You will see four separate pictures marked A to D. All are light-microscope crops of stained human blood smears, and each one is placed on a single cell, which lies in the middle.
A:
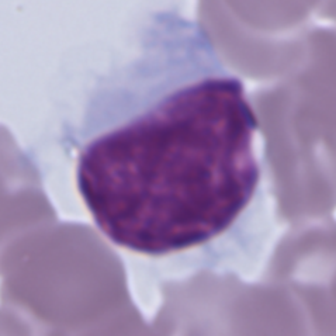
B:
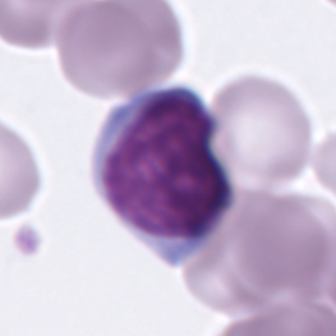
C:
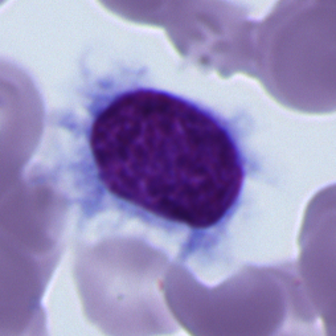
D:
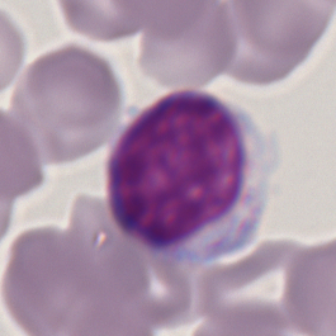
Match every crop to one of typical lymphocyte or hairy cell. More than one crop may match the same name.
A: hairy cell
B: typical lymphocyte
C: hairy cell
D: typical lymphocyte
